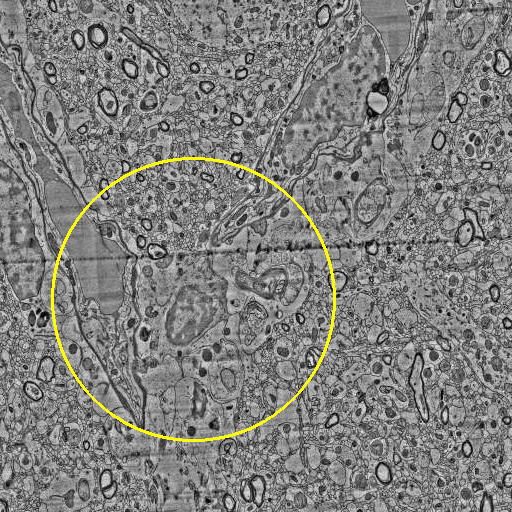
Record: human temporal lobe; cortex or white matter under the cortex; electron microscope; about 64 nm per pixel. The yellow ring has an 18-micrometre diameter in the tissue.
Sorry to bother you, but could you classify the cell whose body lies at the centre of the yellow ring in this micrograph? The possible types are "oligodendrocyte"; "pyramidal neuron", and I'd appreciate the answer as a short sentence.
The ringed cell body is that of an oligodendrocyte.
